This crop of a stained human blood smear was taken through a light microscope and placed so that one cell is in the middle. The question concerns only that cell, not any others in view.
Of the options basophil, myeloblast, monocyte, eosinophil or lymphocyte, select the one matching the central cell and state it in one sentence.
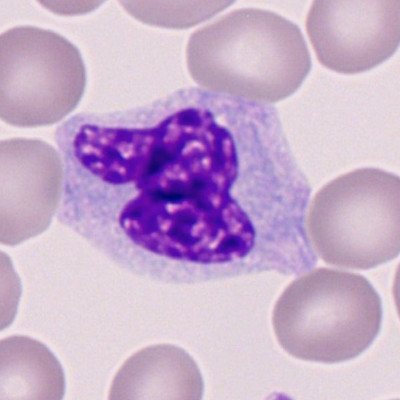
The cell occupying the middle of the crop is a monocyte.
